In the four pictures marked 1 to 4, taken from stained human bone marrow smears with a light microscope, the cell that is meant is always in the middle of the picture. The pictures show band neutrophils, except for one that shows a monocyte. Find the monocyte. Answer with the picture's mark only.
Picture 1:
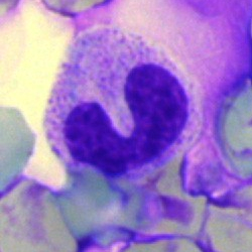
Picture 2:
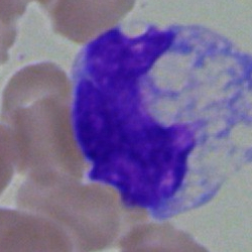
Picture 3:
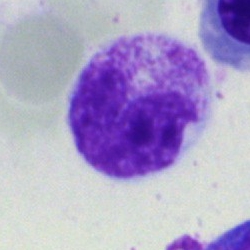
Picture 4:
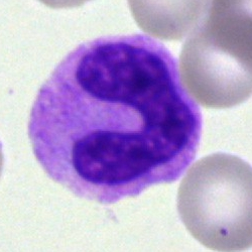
2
